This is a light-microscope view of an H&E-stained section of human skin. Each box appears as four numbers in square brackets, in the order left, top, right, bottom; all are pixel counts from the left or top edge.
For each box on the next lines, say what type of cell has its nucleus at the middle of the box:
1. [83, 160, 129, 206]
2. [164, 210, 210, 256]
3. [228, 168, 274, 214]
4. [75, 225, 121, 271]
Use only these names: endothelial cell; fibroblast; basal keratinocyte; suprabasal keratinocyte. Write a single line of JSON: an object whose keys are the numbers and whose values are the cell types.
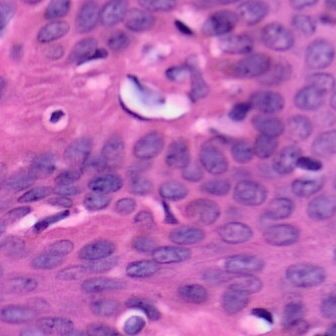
{"1": "basal keratinocyte", "2": "basal keratinocyte", "3": "suprabasal keratinocyte", "4": "basal keratinocyte"}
